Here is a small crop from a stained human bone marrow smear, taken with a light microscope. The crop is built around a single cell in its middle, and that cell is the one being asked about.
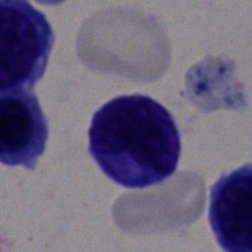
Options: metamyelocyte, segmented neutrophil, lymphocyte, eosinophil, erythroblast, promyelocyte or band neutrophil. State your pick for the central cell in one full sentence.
For this crop, the central cell is a lymphocyte.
